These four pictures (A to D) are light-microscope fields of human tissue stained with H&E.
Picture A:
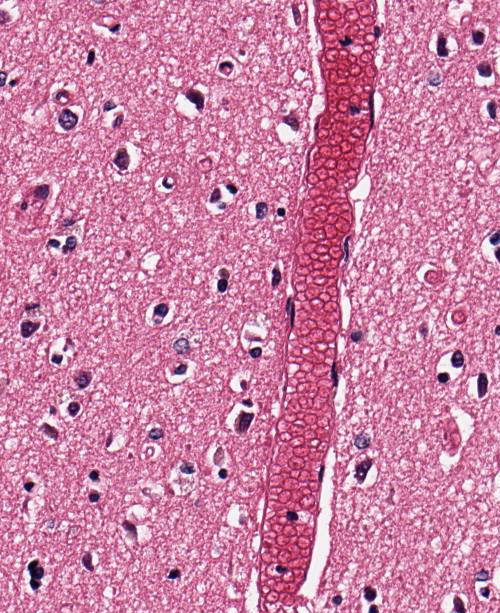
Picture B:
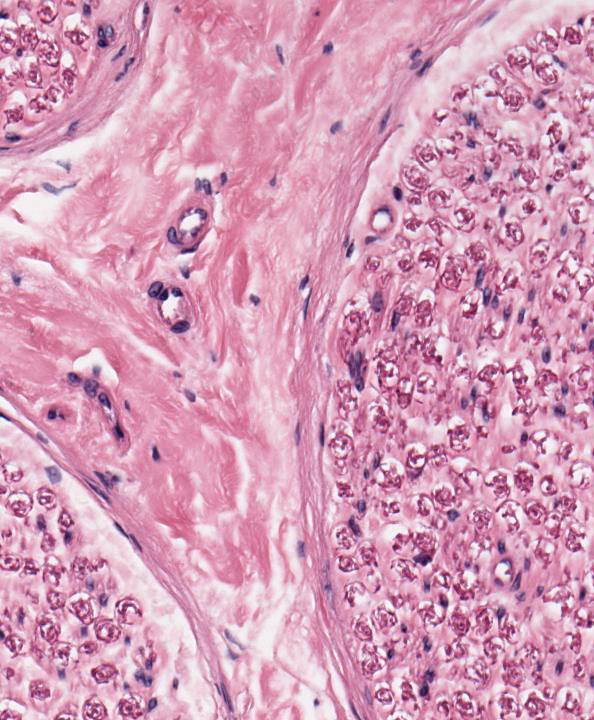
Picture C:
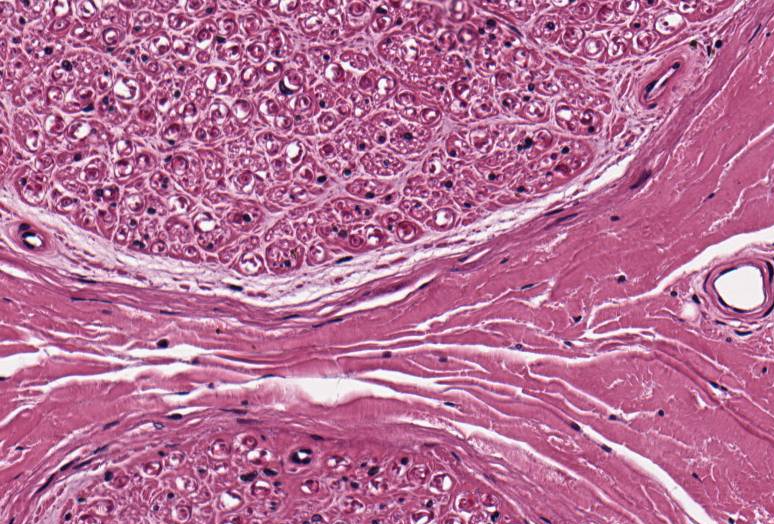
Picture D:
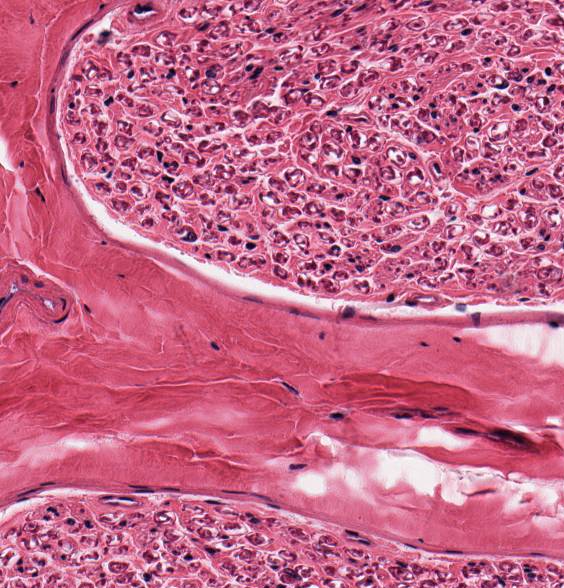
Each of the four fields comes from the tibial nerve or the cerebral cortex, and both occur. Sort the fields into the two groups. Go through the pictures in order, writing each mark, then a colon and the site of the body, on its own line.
A: cerebral cortex
B: tibial nerve
C: tibial nerve
D: tibial nerve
